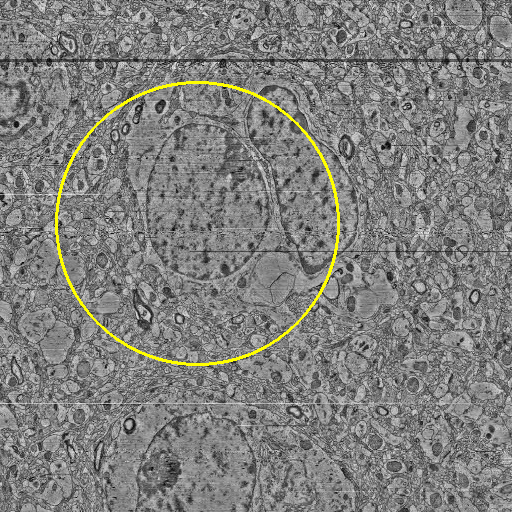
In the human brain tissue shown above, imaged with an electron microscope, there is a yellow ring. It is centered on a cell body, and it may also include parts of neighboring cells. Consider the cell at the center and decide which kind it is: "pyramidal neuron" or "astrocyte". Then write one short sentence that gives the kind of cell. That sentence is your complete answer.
This centered cell body is that of an astrocyte.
